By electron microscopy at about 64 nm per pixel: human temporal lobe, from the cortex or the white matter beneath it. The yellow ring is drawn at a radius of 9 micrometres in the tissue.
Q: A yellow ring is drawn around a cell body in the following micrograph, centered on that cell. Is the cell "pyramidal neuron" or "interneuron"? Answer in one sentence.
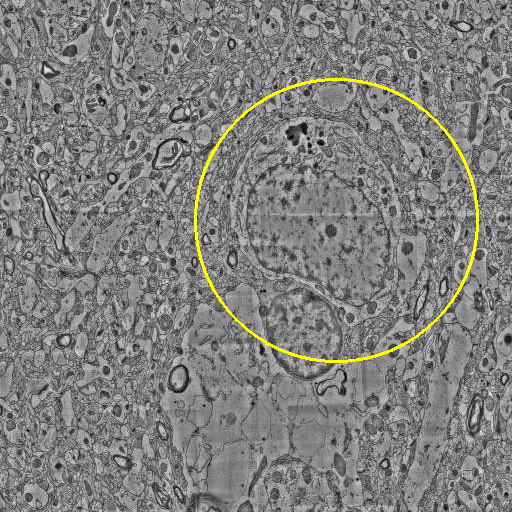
The cell in the center of the ring is an interneuron.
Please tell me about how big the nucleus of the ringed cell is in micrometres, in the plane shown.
The nucleus of the ringed cell is approximately 11 by 8 micrometres in this plane.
